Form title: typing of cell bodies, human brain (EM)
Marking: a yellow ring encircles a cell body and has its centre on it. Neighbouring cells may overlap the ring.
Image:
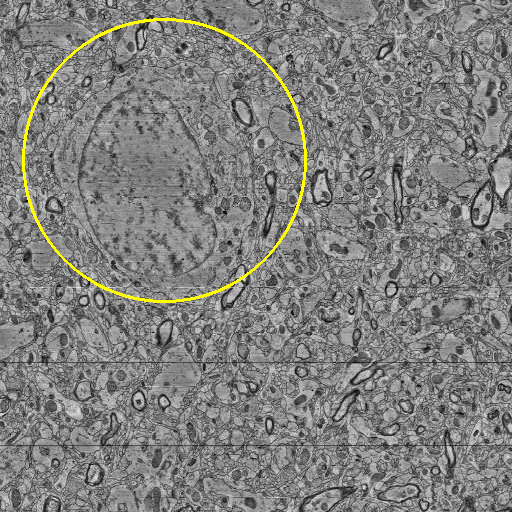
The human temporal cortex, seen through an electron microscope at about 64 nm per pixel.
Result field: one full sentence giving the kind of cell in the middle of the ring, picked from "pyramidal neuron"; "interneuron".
In the picture, the ring is centred on an interneuron, whose cell body it encircles.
